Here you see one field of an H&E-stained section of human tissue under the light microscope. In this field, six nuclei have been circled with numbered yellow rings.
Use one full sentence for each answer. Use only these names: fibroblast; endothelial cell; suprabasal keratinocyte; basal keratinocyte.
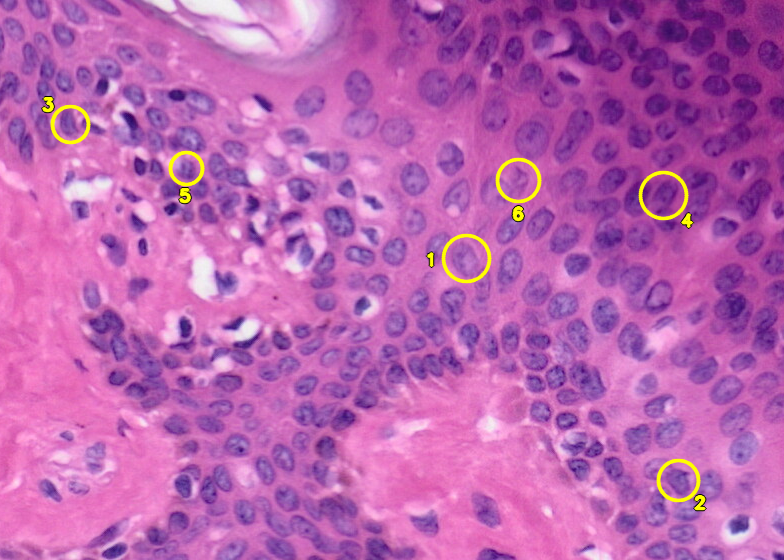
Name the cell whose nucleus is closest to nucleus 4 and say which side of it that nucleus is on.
Just to the left of nucleus 4 lies the nearest nucleus, which belongs to a suprabasal keratinocyte.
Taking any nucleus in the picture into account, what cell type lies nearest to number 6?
It is a suprabasal keratinocyte whose nucleus is nearest to number 6.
